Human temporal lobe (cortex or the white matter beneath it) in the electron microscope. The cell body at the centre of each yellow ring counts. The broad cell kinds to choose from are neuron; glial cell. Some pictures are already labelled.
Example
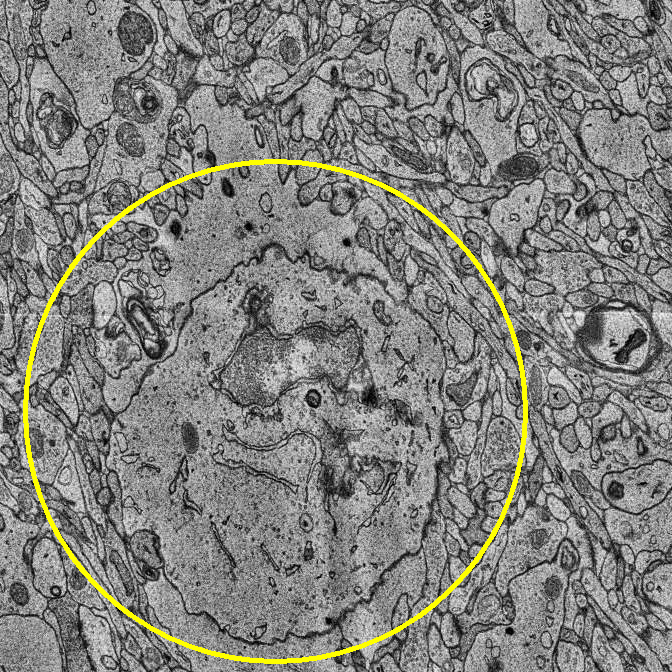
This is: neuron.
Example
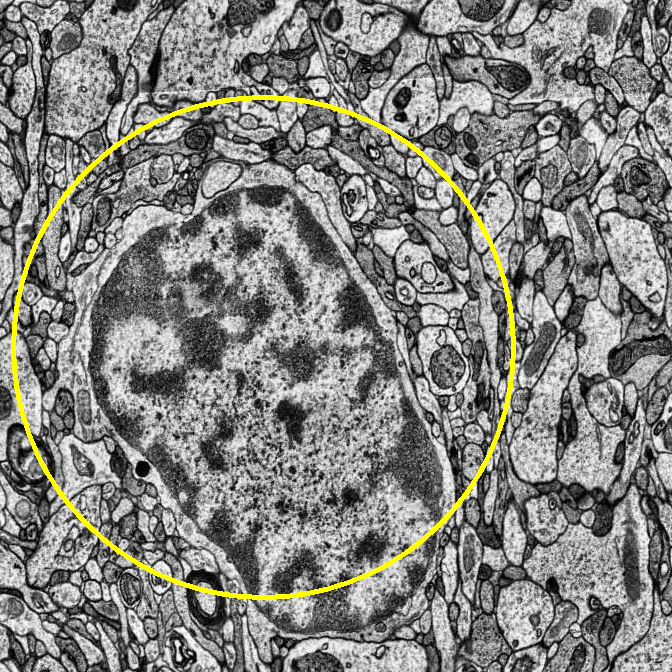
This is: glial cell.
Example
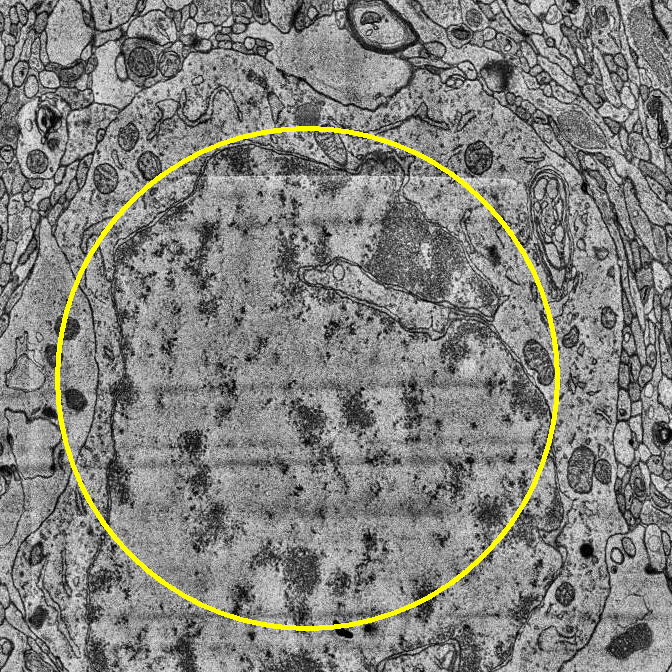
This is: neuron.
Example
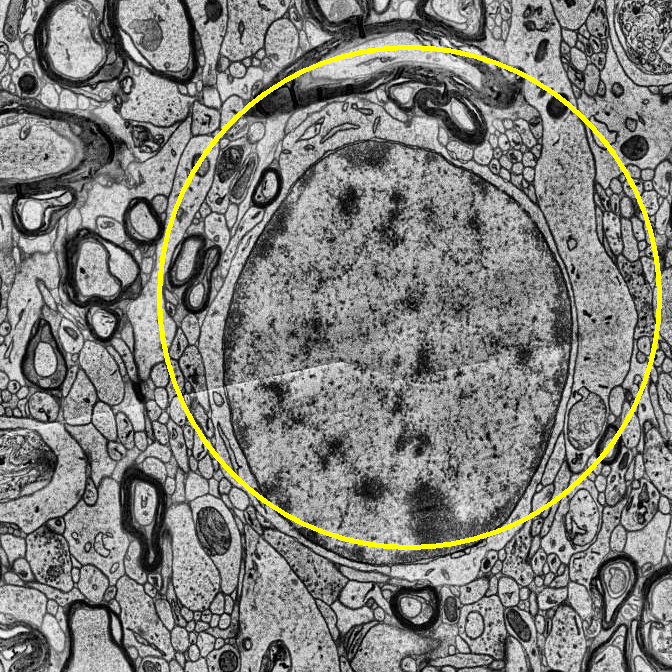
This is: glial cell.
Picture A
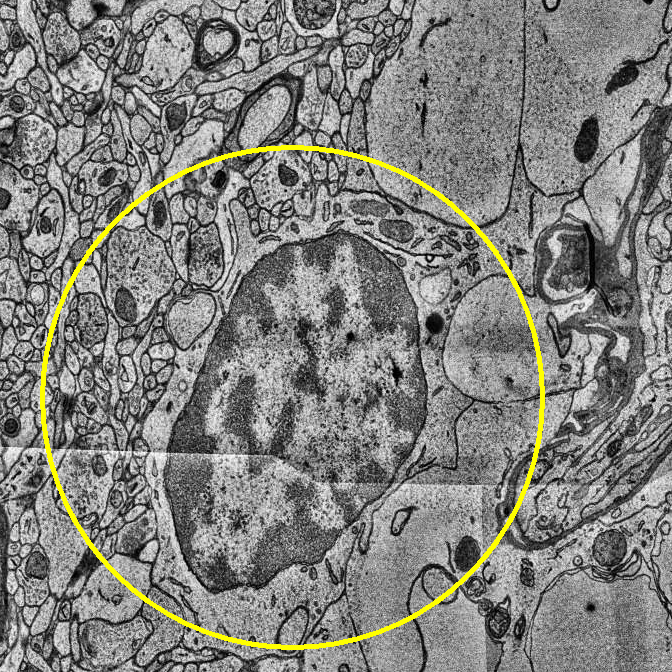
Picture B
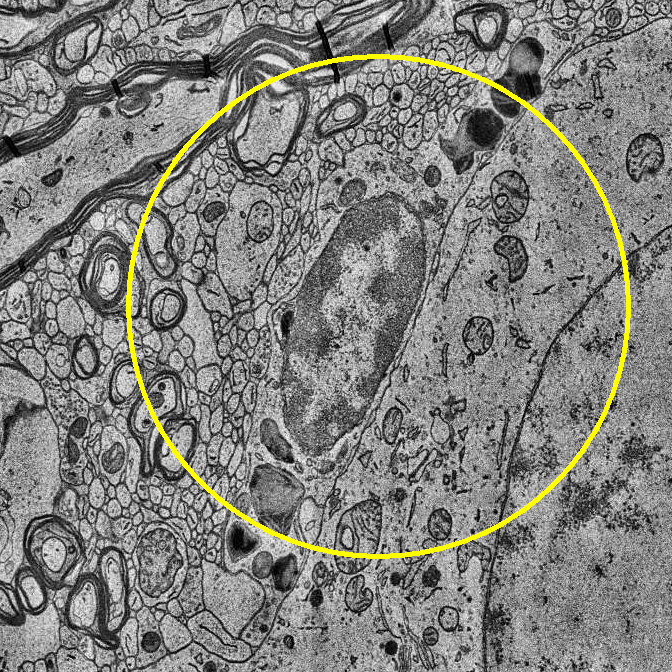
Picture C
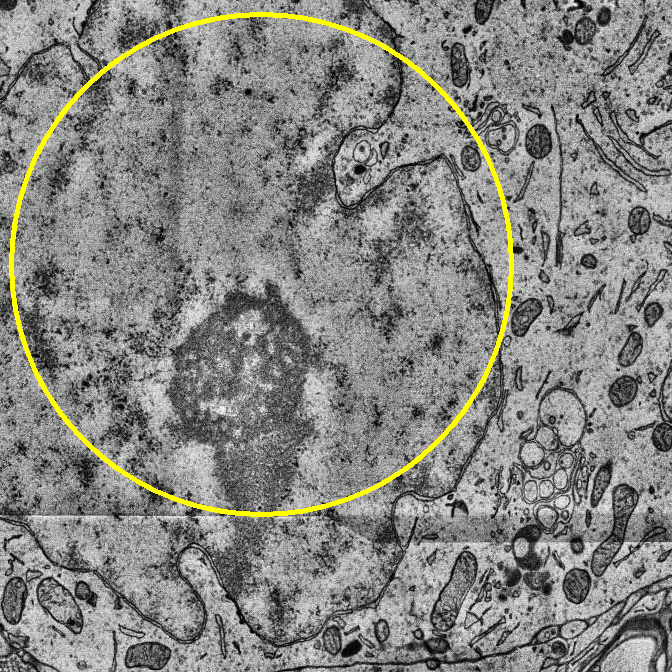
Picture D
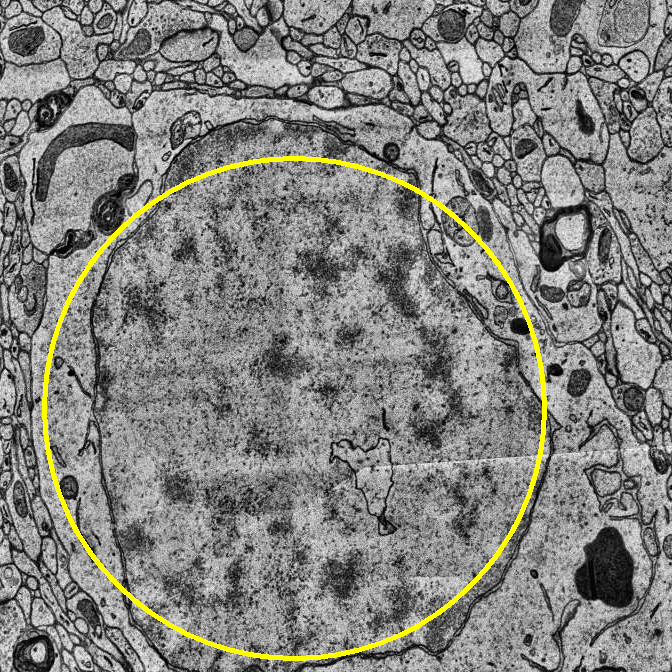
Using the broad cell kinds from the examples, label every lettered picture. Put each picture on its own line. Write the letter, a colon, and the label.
A: glial cell.
B: glial cell.
C: neuron.
D: neuron.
